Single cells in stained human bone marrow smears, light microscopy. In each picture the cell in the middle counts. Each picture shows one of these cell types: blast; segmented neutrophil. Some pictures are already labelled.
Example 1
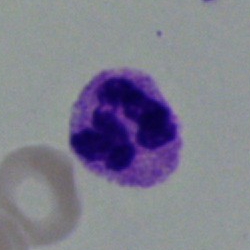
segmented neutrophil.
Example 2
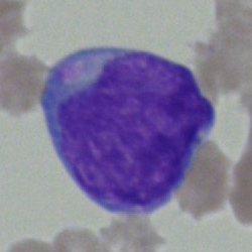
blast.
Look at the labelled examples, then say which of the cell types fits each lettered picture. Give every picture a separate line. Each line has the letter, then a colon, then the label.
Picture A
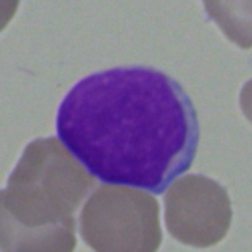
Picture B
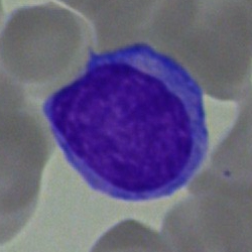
A: blast.
B: blast.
